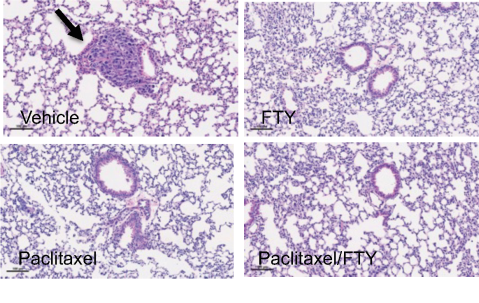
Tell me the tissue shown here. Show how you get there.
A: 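Lung. Many open air spaces separated by thin pink septa. Several round airways lined by a layer of epithelial cells.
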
